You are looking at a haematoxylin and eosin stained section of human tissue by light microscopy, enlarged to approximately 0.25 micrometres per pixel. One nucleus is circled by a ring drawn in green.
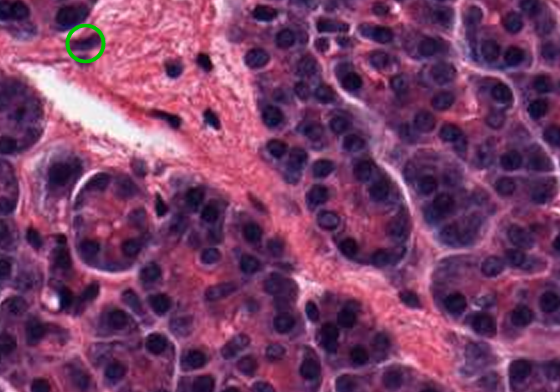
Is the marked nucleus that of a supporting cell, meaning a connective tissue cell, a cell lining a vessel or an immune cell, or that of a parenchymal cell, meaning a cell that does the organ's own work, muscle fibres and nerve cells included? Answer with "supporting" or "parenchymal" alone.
supporting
